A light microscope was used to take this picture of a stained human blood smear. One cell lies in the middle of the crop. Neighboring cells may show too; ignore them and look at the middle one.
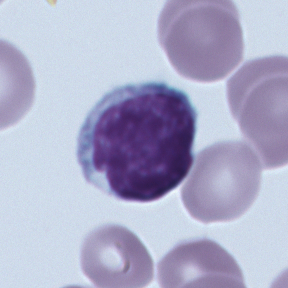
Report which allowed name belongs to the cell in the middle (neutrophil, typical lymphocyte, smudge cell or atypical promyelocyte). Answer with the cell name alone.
typical lymphocyte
